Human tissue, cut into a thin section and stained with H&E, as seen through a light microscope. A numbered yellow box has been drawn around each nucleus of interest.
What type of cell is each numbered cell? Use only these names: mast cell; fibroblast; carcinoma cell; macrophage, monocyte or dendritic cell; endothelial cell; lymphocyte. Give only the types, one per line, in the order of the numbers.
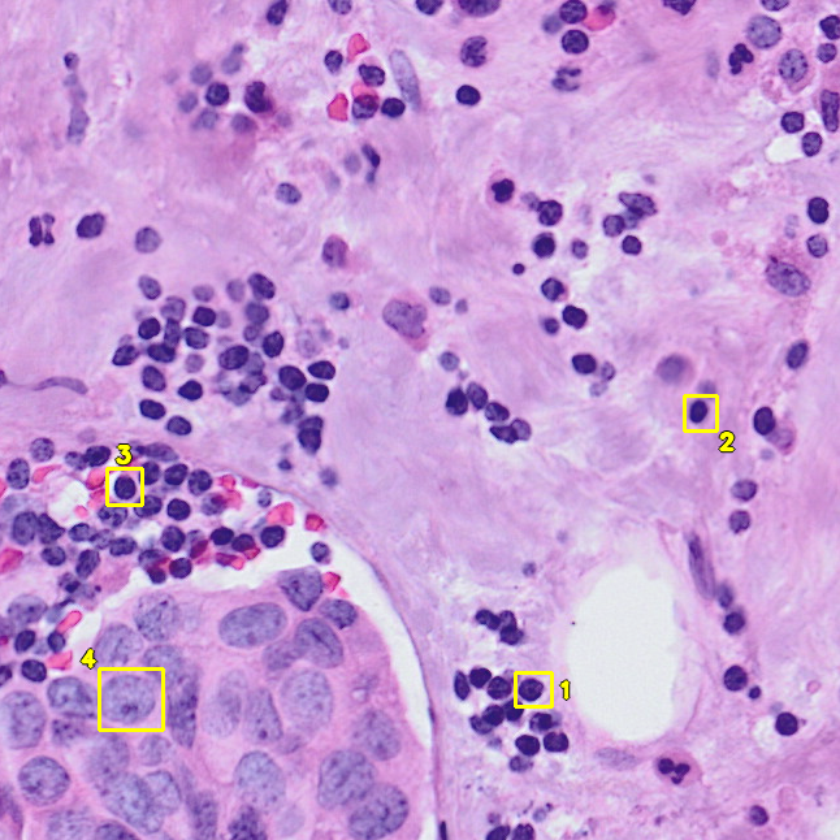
lymphocyte
lymphocyte
lymphocyte
carcinoma cell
